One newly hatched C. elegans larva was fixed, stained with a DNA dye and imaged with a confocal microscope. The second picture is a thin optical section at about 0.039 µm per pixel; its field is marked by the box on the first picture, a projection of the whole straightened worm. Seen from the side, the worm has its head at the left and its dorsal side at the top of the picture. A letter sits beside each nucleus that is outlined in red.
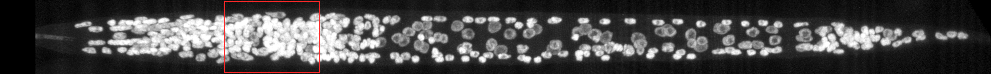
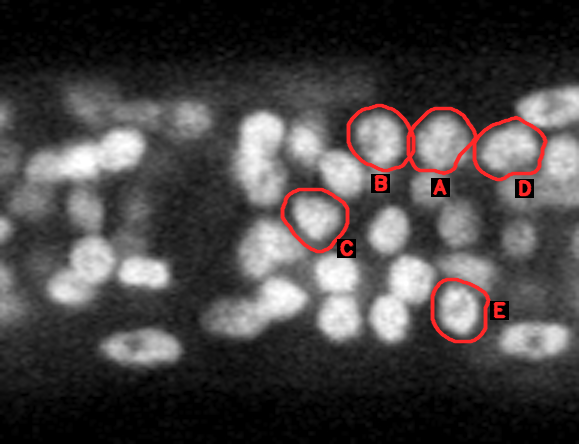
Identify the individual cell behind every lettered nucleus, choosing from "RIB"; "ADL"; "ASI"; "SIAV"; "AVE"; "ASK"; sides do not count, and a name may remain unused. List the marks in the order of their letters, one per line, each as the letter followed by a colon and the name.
A: ADL
B: ASK
C: AVE
D: ASI
E: SIAV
